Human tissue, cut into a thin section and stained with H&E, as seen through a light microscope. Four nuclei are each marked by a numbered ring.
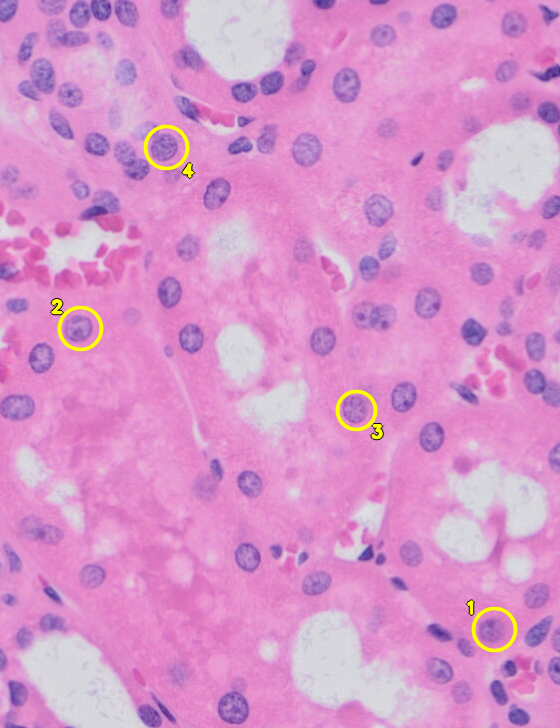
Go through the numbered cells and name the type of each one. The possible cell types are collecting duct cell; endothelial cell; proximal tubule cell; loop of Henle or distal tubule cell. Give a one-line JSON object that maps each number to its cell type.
{"1": "proximal tubule cell", "2": "proximal tubule cell", "3": "proximal tubule cell", "4": "collecting duct cell"}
